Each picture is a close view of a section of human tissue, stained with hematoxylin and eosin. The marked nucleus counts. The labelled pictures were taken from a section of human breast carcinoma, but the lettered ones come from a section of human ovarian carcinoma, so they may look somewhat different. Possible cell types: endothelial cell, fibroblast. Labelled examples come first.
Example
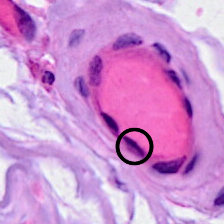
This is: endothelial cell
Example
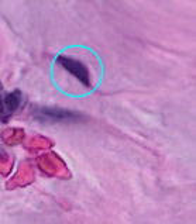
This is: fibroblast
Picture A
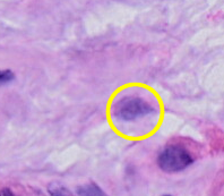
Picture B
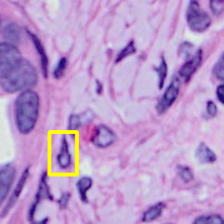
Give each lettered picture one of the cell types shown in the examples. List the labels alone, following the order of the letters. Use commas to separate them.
fibroblast, fibroblast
